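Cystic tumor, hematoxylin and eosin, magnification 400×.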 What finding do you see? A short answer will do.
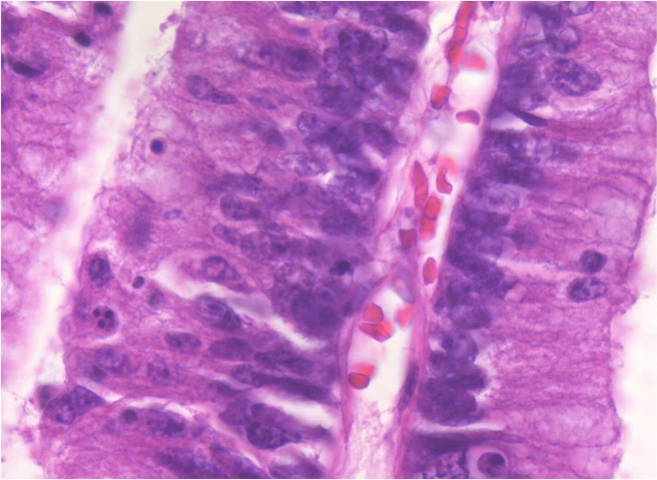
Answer: disordered polarity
